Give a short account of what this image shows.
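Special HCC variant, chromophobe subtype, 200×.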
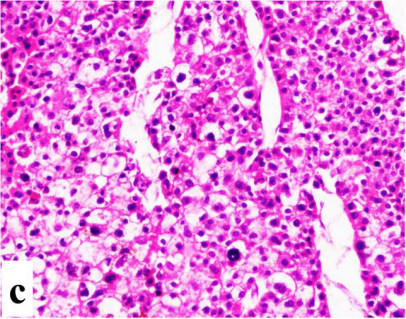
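Tumour cells lie in solid sheets separated by thin clefts. Most cells have clear to finely pink cytoplasm and small round uniform nuclei. Among them are scattered cells with much larger, dark, irregular nuclei. Cell borders are mostly distinct.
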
